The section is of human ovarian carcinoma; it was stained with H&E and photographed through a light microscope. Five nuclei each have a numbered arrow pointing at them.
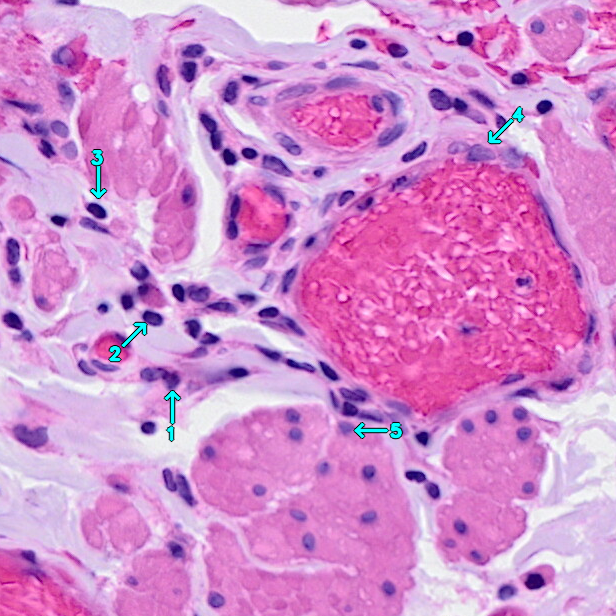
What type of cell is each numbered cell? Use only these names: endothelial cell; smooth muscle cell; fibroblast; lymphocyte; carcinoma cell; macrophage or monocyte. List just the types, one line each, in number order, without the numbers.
lymphocyte
lymphocyte
lymphocyte
endothelial cell
smooth muscle cell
